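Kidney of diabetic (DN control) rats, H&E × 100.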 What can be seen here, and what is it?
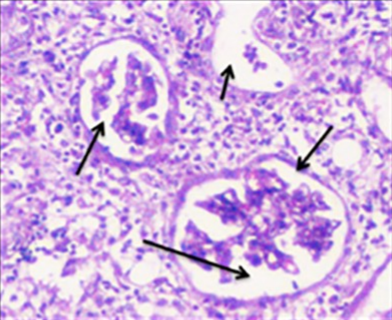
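Renal cortex in which the glomeruli are altered. Inside each capsule the tuft is broken into irregular, dark purple clumps of densely packed nuclei, leaving wide empty spaces between the clumps and the capsular wall. One glomerulus appears enlarged with its tuft lobulated and separated into islands. The surrounding tissue is loose and disorganised, with scattered nuclei and pale spaces instead of neat rows of tubules, and a dilated space containing a little debris lies above. The orderly tubular pattern seen in normal cortex is largely lost.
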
